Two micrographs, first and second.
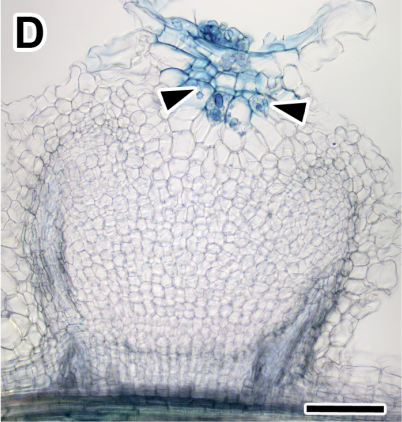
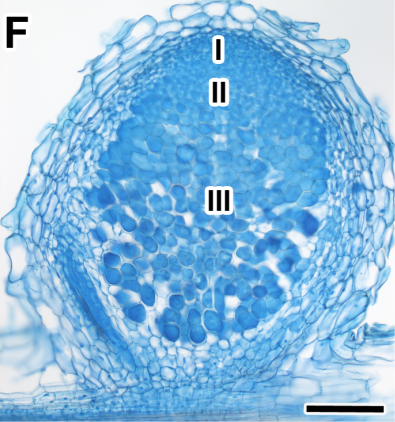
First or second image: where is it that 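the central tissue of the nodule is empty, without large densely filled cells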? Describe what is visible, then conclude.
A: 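The first image. Second image: the centre of the nodule is packed with large dark blue filled cells. First image: the centre of the nodule consists of pale, empty-looking cells.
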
